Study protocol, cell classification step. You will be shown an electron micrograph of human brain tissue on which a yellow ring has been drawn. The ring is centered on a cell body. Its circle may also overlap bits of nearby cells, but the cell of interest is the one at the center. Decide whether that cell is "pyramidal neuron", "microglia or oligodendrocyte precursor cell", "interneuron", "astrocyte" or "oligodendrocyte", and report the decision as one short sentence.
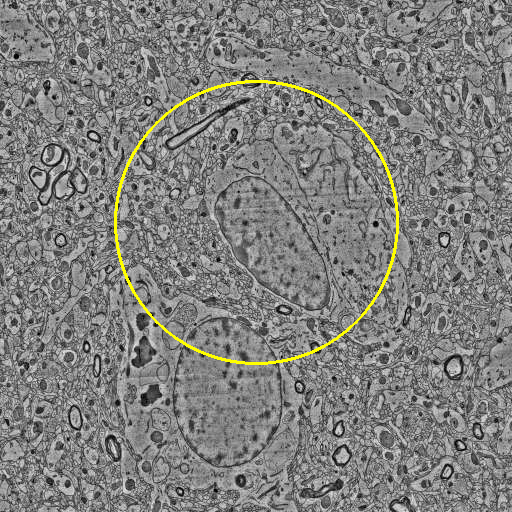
The marked cell is a microglial cell or oligodendrocyte precursor cell.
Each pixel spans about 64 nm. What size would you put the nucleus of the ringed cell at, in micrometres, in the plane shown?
In this plane the nucleus is clearly longer than it is wide: roughly 10 by 5 micrometres.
